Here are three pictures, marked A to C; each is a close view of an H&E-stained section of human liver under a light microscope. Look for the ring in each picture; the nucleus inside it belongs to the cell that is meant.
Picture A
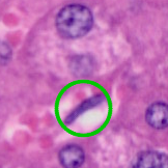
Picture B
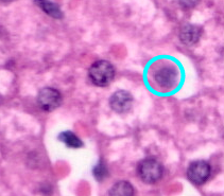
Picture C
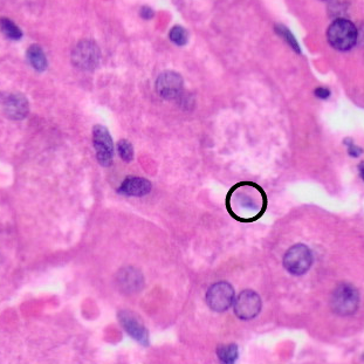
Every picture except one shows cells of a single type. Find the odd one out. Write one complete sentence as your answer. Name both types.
Unlike the rest, which show Kupffer cells, picture C shows an endothelial cell.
